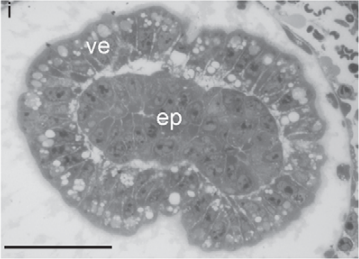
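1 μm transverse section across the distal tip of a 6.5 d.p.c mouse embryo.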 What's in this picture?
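The outer layer is a single epithelium of tall cells whose cytoplasm is filled with many pale vacuoles, making it look lighter and frothy. Inside, separated by a thin pale gap, lies a compact mass of closely packed cells with large round nuclei and little cytoplasm, stained more evenly and darker. The whole structure is surrounded by a clear space with a few neighbouring cells at the corner.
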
